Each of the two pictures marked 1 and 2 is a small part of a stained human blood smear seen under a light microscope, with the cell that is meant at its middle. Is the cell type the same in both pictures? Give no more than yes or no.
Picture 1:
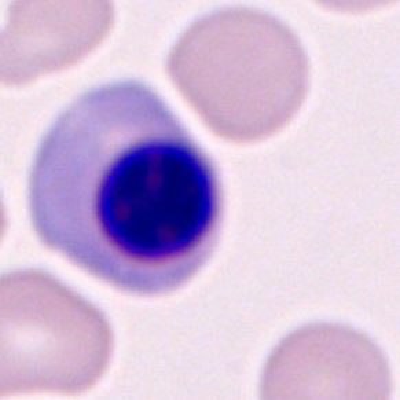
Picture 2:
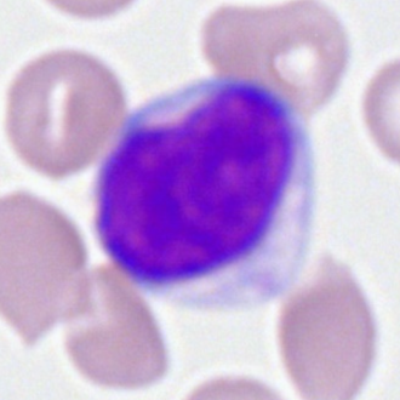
no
